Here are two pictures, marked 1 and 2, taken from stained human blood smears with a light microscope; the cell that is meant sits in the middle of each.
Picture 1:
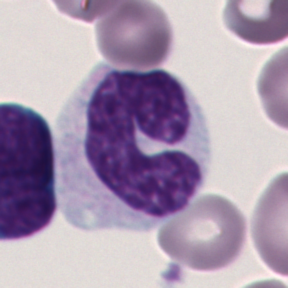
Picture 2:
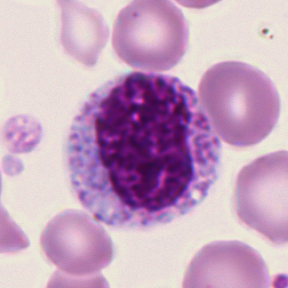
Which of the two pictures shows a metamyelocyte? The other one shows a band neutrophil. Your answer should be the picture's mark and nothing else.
2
